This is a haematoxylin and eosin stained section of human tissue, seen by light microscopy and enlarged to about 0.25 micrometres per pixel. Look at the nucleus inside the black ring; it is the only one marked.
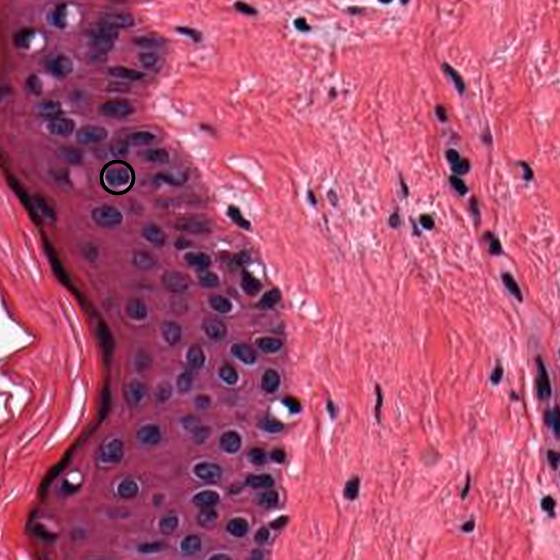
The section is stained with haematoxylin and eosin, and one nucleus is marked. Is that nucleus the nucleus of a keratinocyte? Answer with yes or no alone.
yes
